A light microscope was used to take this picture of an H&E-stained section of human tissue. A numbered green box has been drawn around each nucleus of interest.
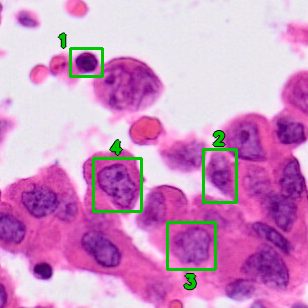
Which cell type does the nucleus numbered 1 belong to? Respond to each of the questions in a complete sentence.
Classified as a lymphocyte is the cell with the number 1.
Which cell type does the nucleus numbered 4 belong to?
The cell assigned the number 4 is a carcinoma cell.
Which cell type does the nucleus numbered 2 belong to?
Of the numbered cells, the one labelled 2 is a carcinoma cell.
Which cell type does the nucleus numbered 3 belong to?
The label 3 in this section denotes a carcinoma cell.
